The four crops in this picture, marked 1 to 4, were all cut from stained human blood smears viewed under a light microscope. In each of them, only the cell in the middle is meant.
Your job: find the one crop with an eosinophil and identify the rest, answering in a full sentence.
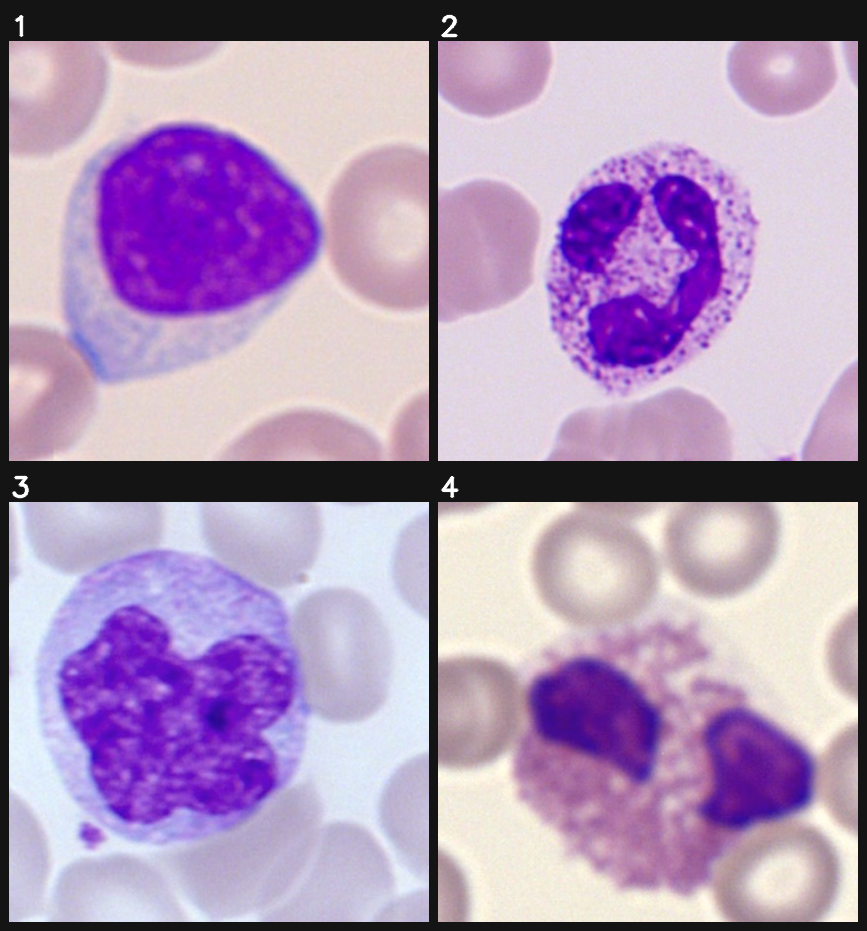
The cell shown in crop 4 is an eosinophil, whereas crop 1 is a lymphocyte, crop 2 is a neutrophil and crop 3 is a monocyte.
